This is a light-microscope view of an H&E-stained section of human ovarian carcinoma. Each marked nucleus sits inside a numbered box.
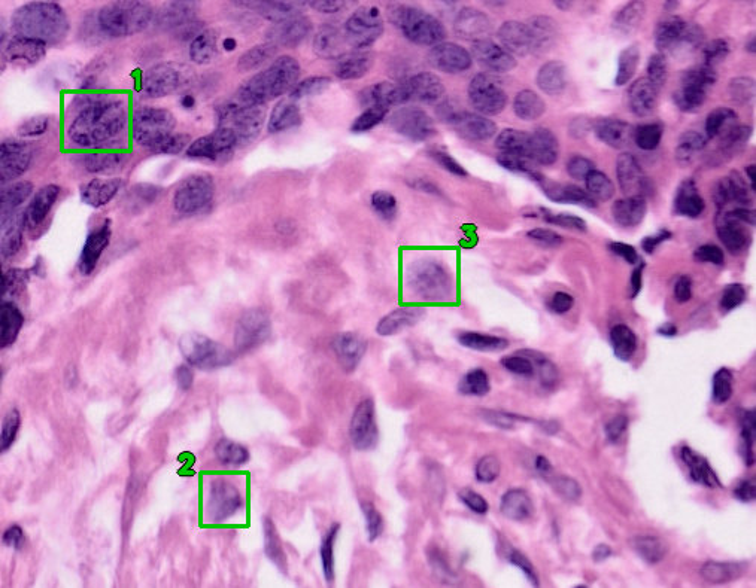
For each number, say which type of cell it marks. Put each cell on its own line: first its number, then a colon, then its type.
1: carcinoma cell
2: fibroblast
3: fibroblast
